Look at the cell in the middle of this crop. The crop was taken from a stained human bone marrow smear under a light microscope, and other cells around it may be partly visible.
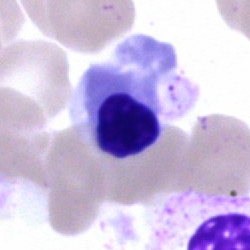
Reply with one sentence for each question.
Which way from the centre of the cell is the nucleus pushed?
The nucleus sits off-centre, toward the bottom.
